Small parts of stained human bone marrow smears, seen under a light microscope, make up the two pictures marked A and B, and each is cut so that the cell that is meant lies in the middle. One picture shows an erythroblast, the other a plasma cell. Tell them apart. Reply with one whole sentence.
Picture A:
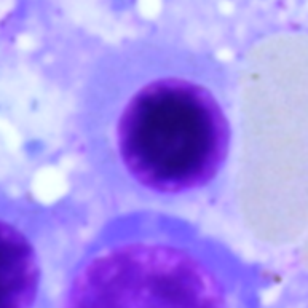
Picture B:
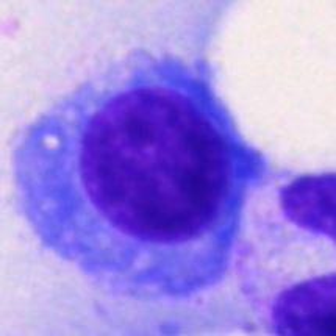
It is picture A that shows an erythroblast, and picture B that shows a plasma cell.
